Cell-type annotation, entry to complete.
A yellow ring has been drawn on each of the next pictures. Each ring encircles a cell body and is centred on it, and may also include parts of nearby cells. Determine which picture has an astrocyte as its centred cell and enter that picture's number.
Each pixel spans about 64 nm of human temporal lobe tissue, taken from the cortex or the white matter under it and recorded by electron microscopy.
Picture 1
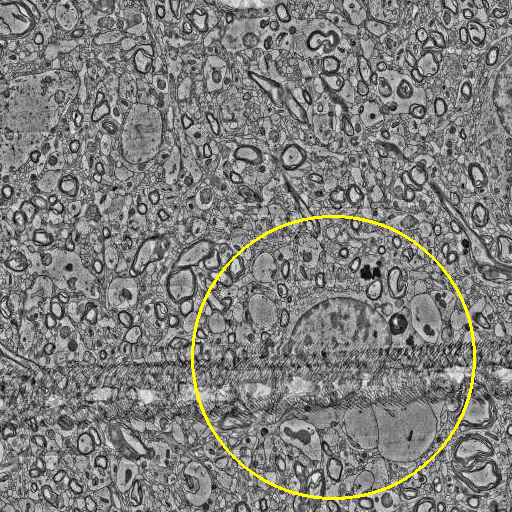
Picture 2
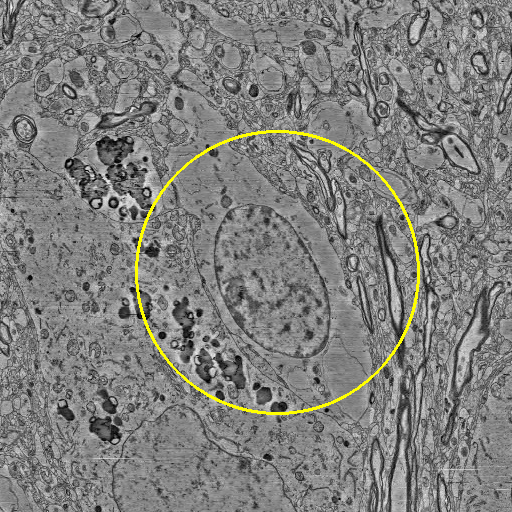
2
